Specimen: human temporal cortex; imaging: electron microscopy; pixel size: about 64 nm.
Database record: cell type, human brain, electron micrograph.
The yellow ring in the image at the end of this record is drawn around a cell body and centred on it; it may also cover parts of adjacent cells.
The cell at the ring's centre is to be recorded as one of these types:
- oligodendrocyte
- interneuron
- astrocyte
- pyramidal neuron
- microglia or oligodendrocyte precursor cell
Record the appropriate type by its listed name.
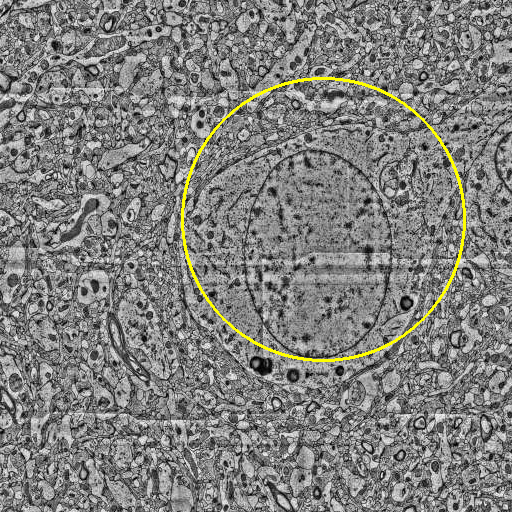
pyramidal neuron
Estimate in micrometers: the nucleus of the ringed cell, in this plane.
Approximately 13 by 10 micrometers in this plane.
